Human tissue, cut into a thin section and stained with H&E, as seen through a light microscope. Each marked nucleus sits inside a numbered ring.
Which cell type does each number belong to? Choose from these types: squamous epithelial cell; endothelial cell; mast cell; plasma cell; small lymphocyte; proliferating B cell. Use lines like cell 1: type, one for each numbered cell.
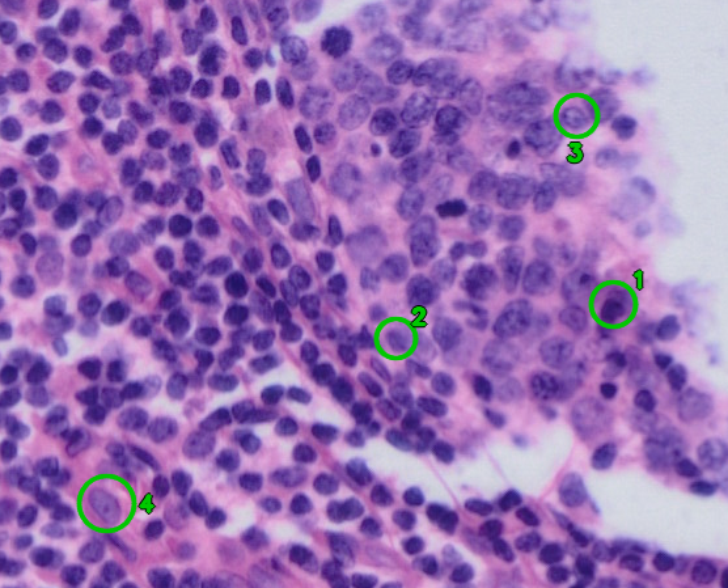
cell 1: proliferating B cell
cell 2: proliferating B cell
cell 3: proliferating B cell
cell 4: endothelial cell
